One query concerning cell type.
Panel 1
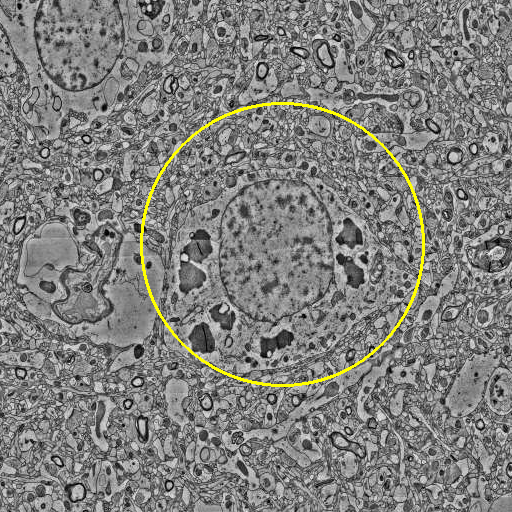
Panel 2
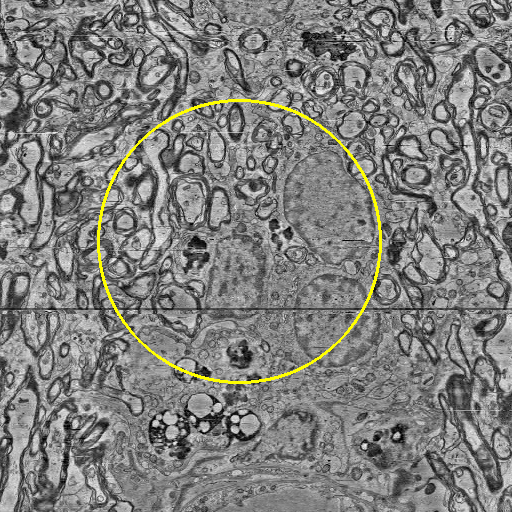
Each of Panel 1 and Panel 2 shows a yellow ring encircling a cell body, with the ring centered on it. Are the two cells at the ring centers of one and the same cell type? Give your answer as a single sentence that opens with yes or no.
No, the cell centered in Panel 1 and the one in Panel 2 are of two types.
